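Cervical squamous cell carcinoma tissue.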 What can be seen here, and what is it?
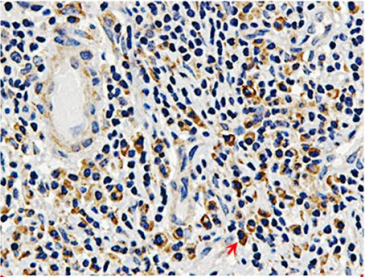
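Many have round to oval dark blue nuclei with a rim of cytoplasm stained brown. Stained and unstained cells are intermingled without clear organisation. A small thin-walled vessel with a pale lumen lies at the upper left. Spindle-shaped stromal nuclei run between the cells in places.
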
